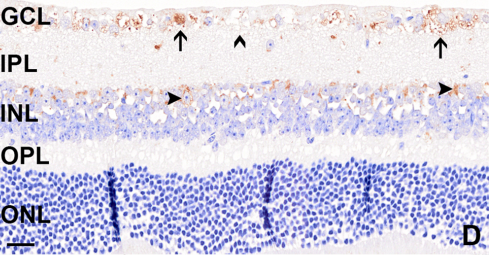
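A section of retina shows the innermost row of large neurons, a pale fibrous layer, a row of packed inner nuclei, a thin pale layer and a dense outer row of dark small nuclei. Many of the innermost neurons hold coarse brown granules in their cytoplasm, and in places nuclei are no longer seen among the brown material; brown granules also lie scattered in the inner nuclear row.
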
